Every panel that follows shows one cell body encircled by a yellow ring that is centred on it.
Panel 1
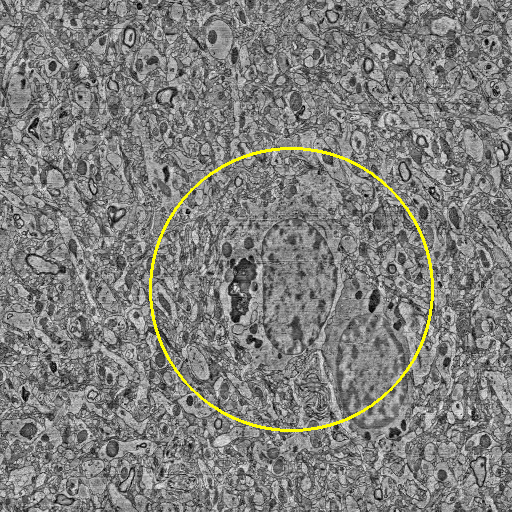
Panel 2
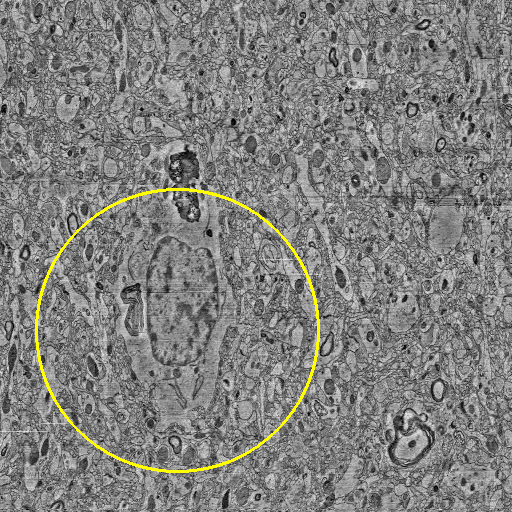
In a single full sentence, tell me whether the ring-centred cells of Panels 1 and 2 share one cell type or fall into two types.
In Panel 1 and Panel 2, the cells at the ring centres share one cell type.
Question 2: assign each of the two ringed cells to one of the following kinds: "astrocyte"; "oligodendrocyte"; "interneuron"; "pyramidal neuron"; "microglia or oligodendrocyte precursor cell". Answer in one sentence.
Each of the ringed cells, first and second, is an astrocyte.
